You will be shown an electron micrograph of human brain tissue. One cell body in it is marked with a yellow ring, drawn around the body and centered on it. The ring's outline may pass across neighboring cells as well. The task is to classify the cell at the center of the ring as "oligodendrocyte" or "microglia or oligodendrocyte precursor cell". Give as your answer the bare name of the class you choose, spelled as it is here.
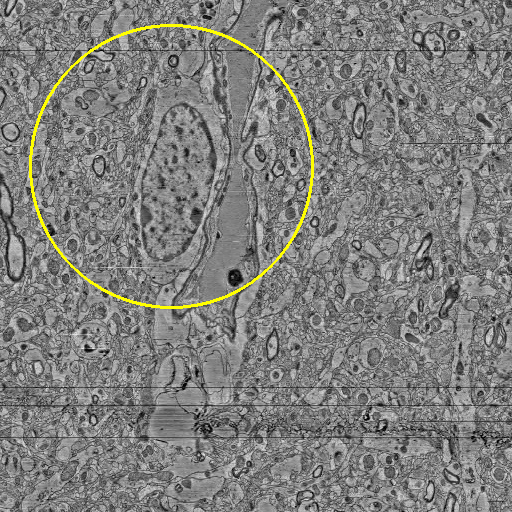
microglia or oligodendrocyte precursor cell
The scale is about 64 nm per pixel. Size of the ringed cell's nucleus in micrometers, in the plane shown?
The nucleus has a long axis of about 10 micrometres and a short axis of about 4 micrometres in this plane.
